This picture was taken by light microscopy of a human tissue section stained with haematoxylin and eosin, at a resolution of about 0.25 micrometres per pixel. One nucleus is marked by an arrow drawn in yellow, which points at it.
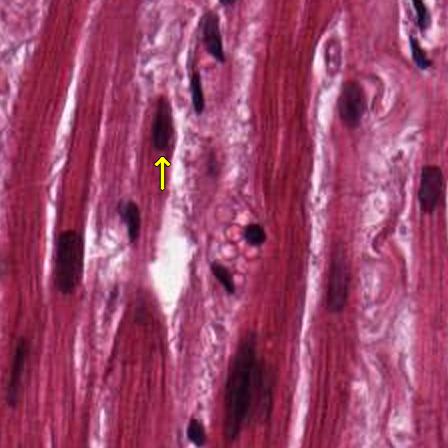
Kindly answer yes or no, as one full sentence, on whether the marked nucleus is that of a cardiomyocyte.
Yes, a cardiomyocyte is what the marked nucleus belongs to.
